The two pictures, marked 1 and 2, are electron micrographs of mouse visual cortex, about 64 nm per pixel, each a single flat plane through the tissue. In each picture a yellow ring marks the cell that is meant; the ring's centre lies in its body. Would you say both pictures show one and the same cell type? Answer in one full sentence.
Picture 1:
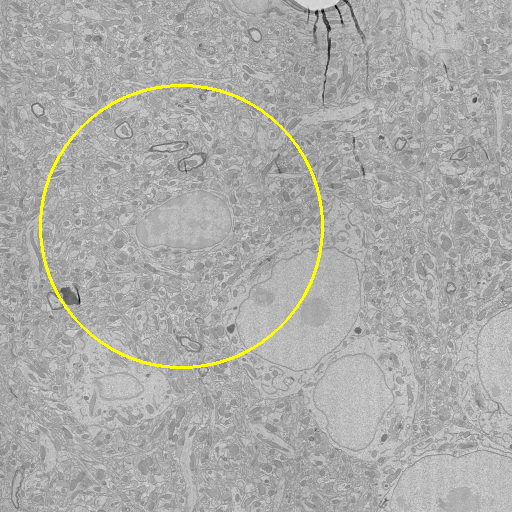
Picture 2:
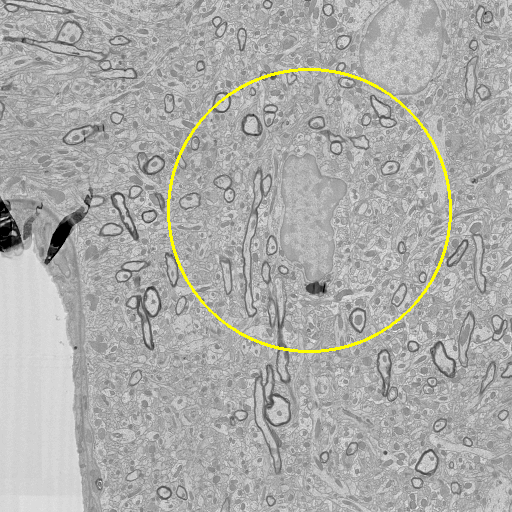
Yes, both cells are microglial cells.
